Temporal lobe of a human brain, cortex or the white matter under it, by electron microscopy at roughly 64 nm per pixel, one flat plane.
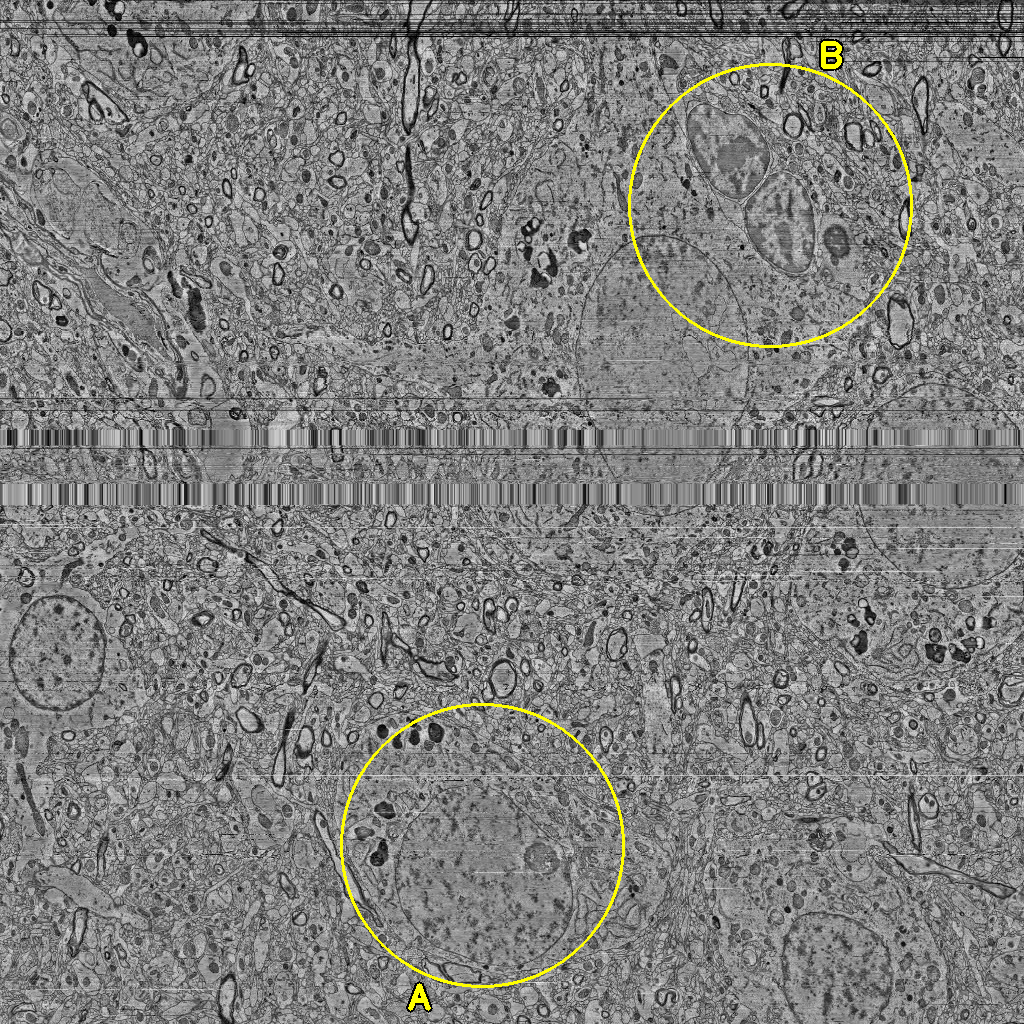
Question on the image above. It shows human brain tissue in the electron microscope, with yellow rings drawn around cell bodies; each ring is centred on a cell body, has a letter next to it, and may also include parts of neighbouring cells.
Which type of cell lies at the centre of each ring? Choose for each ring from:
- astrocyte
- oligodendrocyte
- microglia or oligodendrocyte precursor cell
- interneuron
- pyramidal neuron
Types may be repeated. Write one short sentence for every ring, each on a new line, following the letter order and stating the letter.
Ring A has been drawn around a pyramidal neuron.
Ring B has been drawn around a microglial cell or oligodendrocyte precursor cell.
